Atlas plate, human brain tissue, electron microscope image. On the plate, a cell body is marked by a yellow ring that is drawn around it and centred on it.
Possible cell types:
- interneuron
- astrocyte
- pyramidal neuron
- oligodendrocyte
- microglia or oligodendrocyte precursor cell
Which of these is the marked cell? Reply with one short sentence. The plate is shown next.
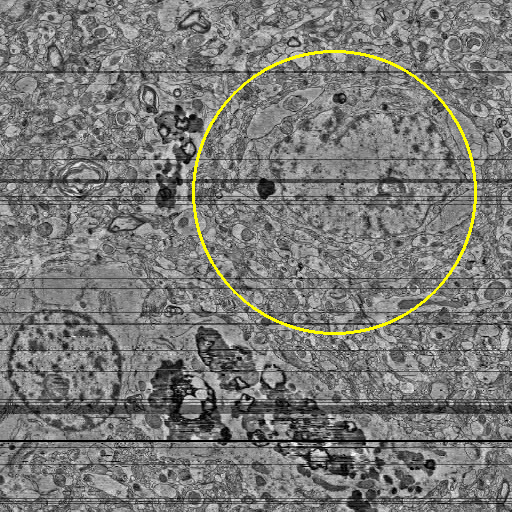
The marked cell is an interneuron.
